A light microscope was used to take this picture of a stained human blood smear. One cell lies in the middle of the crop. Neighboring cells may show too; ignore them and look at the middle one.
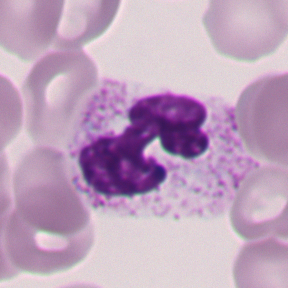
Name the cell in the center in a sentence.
The centrally located cell in the crop is a segmented neutrophil.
